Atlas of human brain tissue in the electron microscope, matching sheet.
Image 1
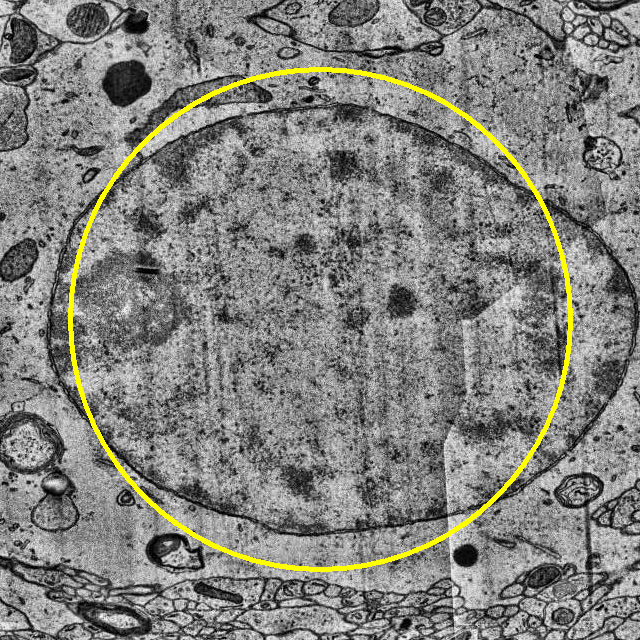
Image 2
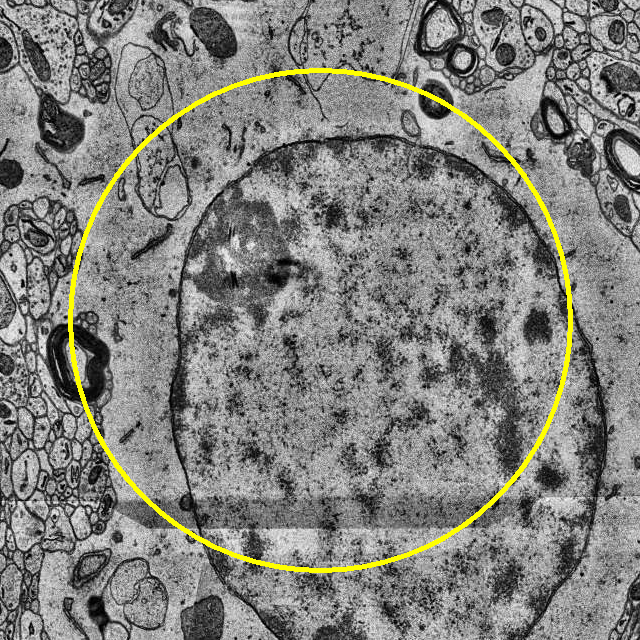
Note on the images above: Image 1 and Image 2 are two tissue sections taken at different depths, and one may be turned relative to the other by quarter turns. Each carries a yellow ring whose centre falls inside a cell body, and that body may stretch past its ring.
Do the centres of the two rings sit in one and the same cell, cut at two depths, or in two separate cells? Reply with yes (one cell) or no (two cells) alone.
no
